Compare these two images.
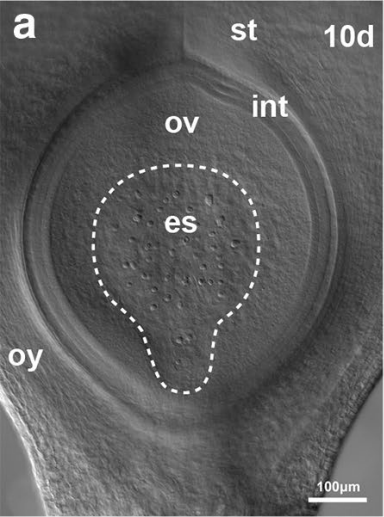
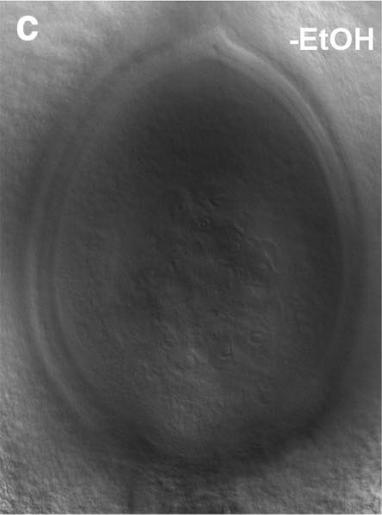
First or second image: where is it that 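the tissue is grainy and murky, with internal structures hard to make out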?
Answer: The second image.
